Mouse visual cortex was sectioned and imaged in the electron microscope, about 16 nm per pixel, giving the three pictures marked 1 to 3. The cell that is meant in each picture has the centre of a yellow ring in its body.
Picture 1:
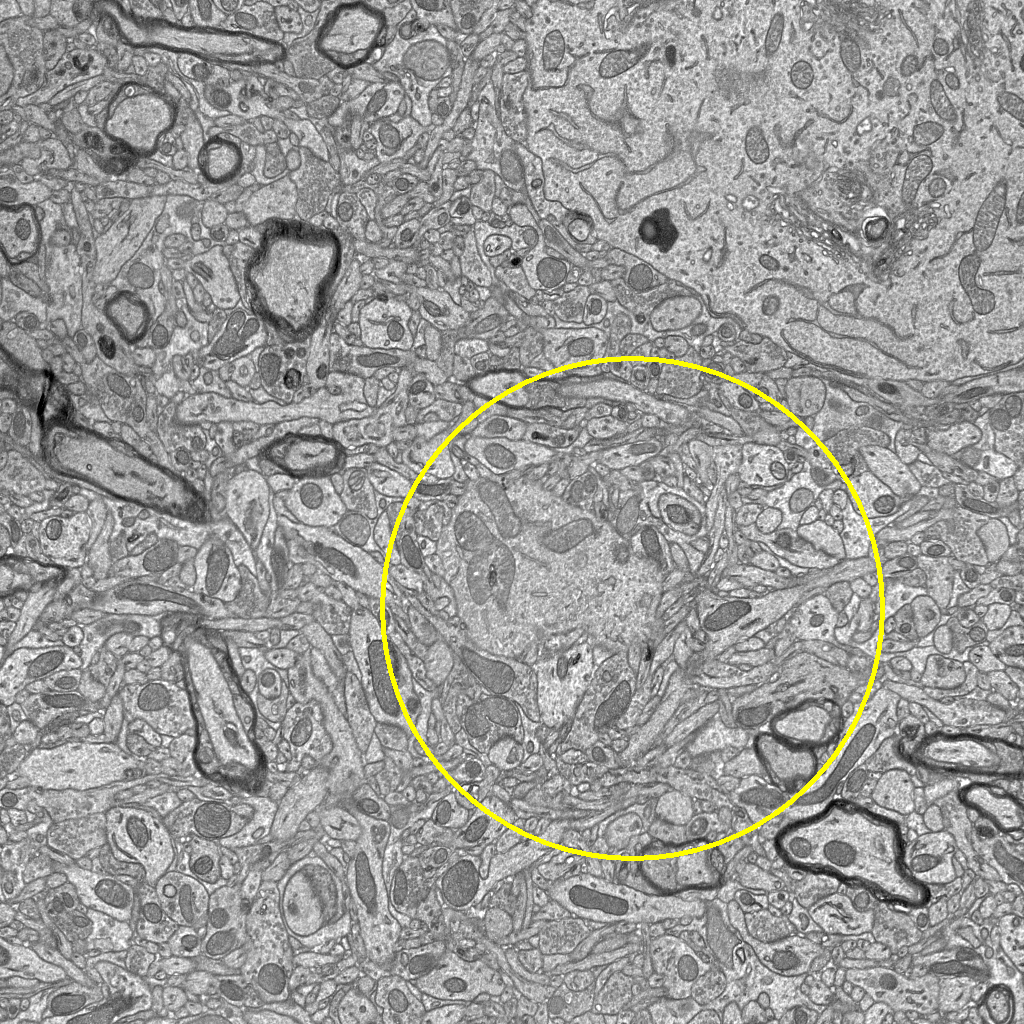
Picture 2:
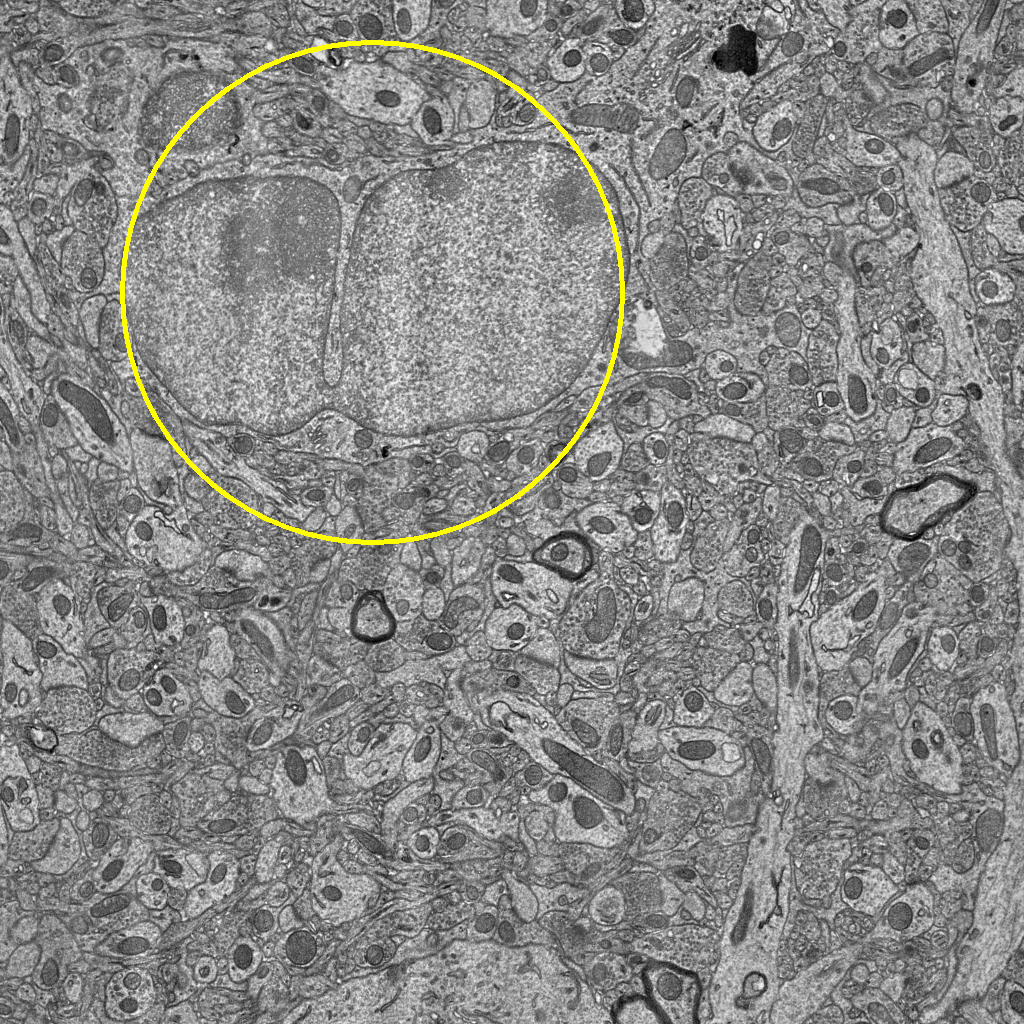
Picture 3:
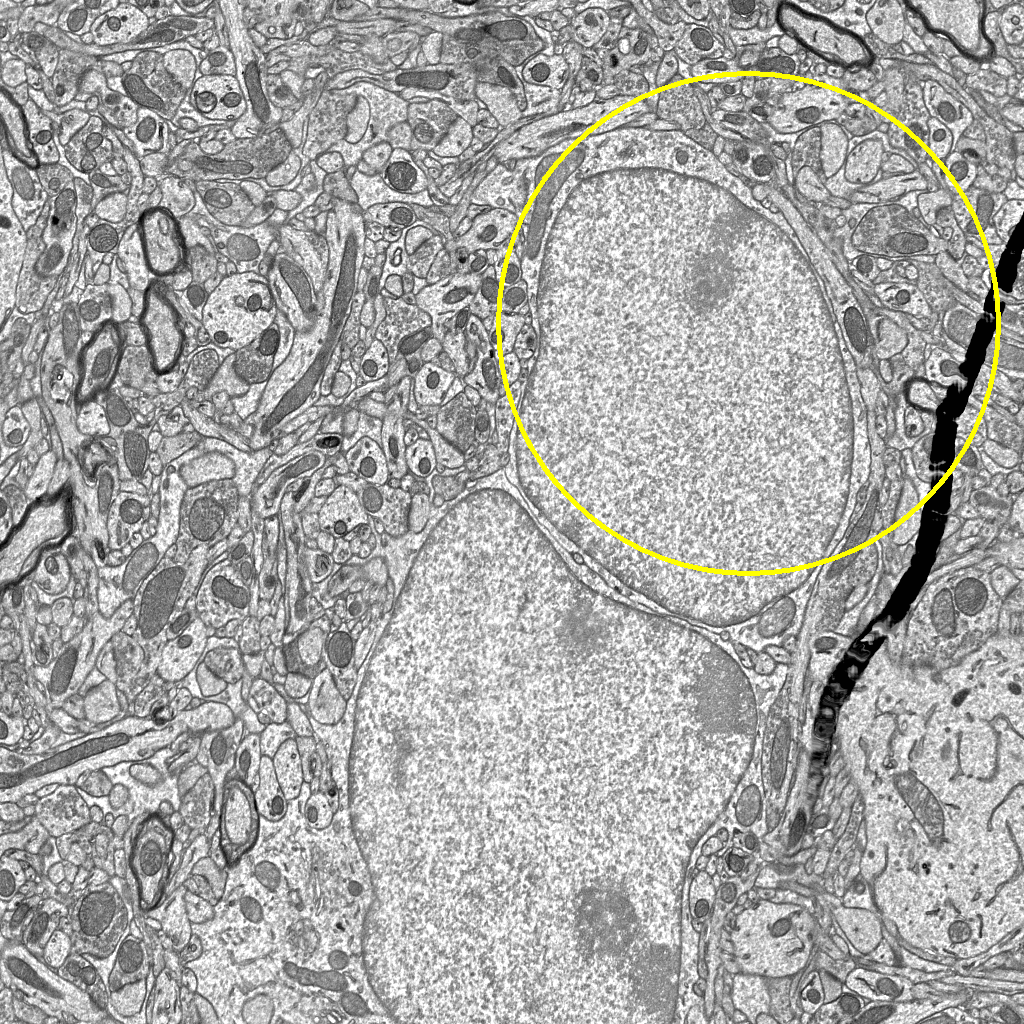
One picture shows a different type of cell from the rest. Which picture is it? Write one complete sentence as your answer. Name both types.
Unlike the rest, which show astrocytes, picture 1 shows an oligodendrocyte.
